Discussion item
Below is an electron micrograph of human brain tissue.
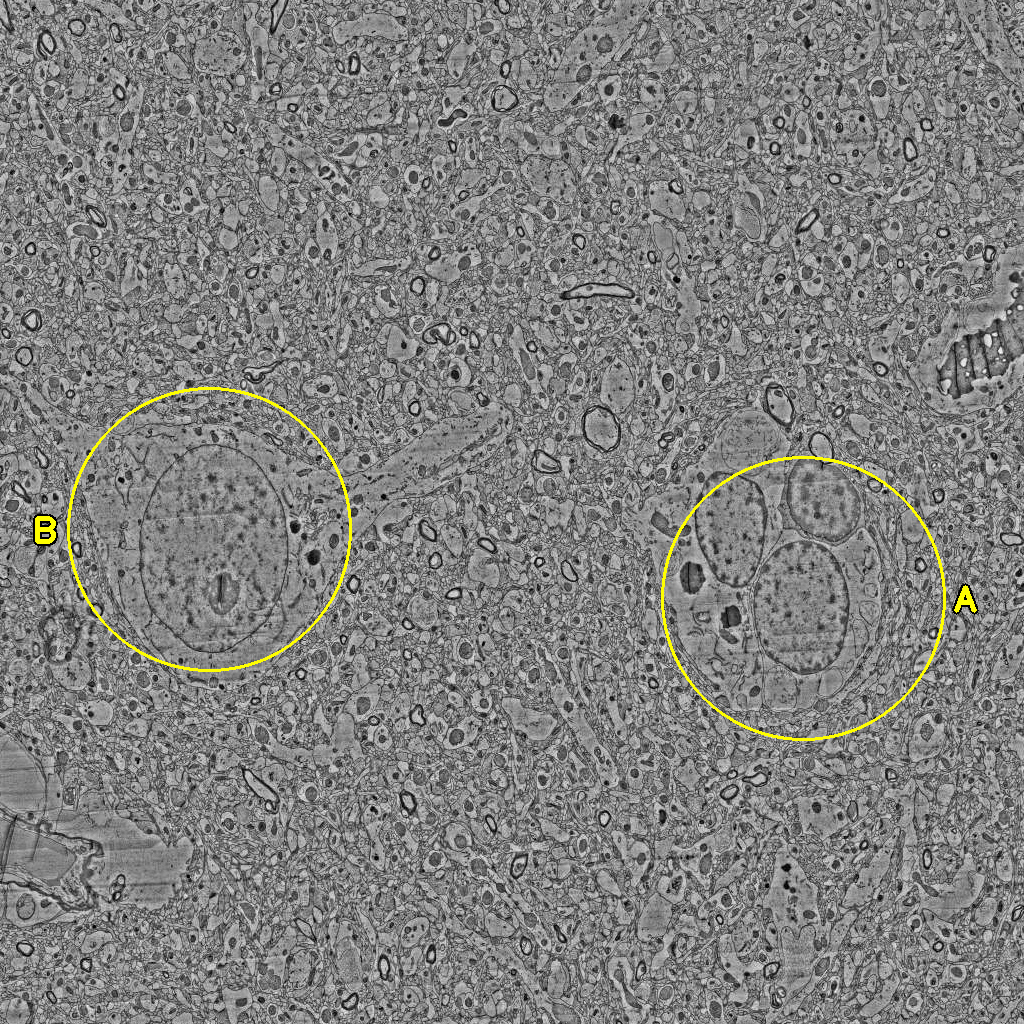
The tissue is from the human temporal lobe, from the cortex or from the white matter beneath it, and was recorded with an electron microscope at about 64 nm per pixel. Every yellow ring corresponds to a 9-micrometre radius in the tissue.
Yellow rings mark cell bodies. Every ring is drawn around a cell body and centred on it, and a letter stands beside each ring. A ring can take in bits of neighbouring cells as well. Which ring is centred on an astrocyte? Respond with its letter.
A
